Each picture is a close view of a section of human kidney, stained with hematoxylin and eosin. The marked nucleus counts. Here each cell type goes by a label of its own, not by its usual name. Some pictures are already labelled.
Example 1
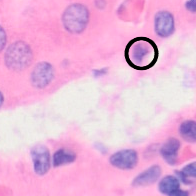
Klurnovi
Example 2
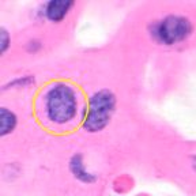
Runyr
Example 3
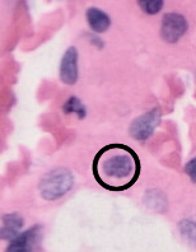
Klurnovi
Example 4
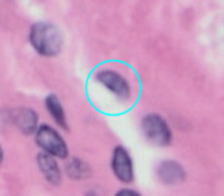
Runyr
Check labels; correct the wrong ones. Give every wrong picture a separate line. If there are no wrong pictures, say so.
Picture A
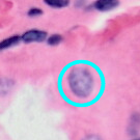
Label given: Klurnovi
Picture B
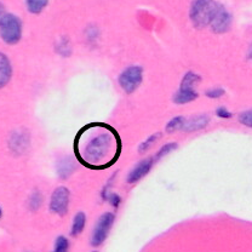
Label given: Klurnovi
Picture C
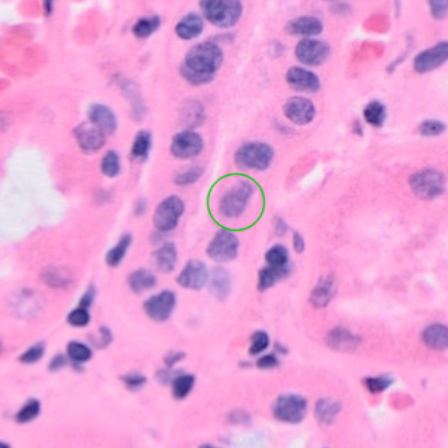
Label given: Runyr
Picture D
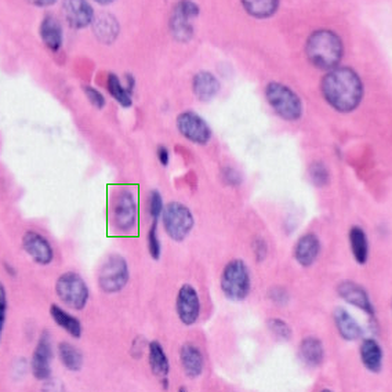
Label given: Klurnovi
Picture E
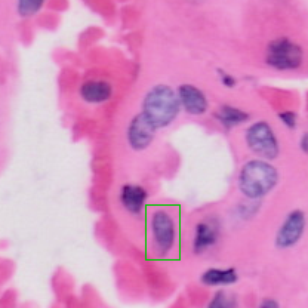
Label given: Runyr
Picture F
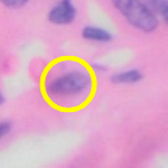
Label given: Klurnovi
F: change Klurnovi to Runyr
